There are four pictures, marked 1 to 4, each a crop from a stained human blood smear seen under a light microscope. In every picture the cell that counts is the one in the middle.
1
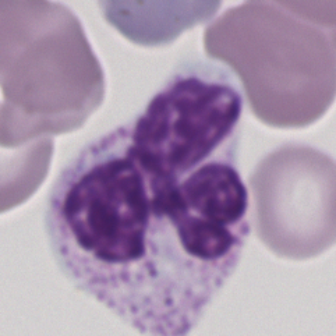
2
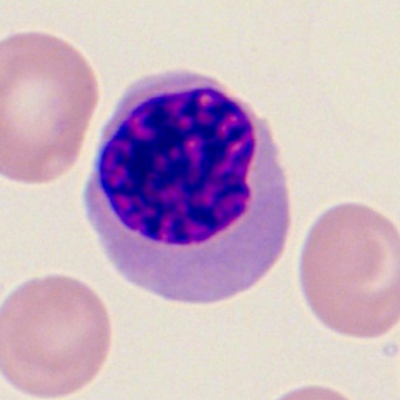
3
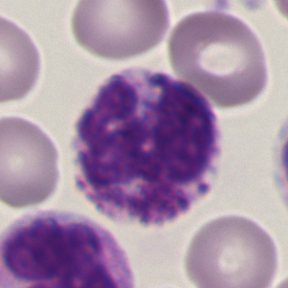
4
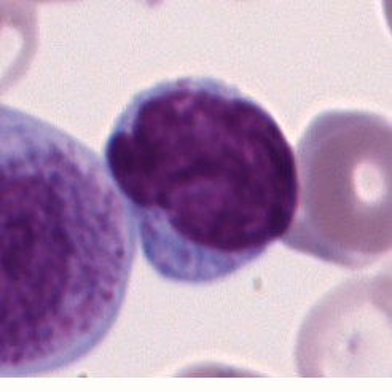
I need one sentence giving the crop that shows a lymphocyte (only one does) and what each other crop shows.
Crop 4 is classified as a lymphocyte, whereas crop 1 is a segmented neutrophil, crop 2 is an erythroblast and crop 3 is a basophil.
